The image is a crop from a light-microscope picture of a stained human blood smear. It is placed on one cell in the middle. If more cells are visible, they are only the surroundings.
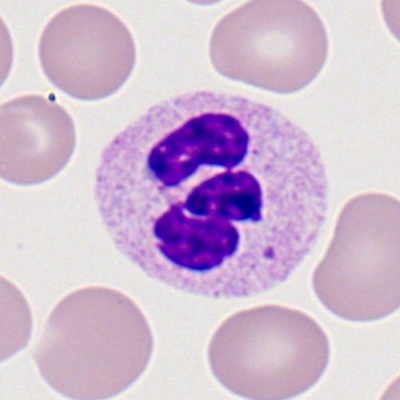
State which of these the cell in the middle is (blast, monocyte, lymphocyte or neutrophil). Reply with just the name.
neutrophil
